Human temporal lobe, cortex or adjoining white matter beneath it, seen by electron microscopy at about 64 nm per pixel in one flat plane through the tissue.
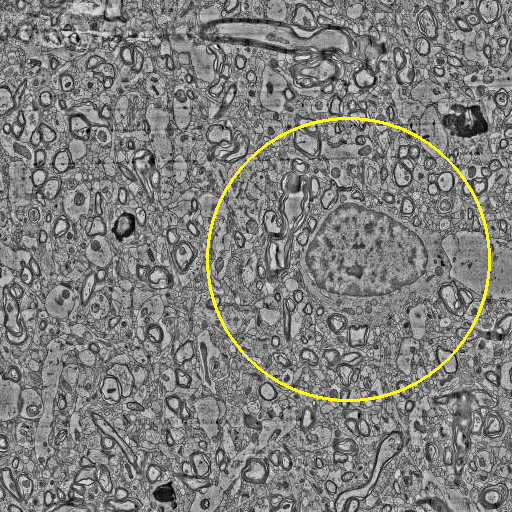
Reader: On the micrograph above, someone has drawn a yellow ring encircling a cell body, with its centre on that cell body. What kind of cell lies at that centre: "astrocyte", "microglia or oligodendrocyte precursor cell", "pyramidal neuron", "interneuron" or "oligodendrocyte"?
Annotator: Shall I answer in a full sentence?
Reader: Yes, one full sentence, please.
Here an oligodendrocyte sits at the centre of the yellow ring drawn on the micrograph.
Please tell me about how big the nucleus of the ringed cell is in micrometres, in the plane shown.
Approximately 8 by 6 micrometers in this plane.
